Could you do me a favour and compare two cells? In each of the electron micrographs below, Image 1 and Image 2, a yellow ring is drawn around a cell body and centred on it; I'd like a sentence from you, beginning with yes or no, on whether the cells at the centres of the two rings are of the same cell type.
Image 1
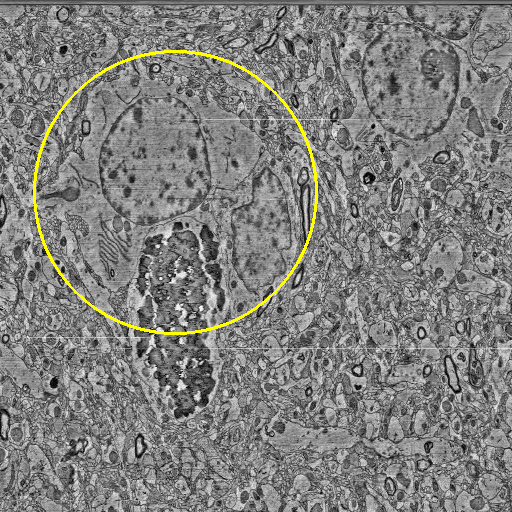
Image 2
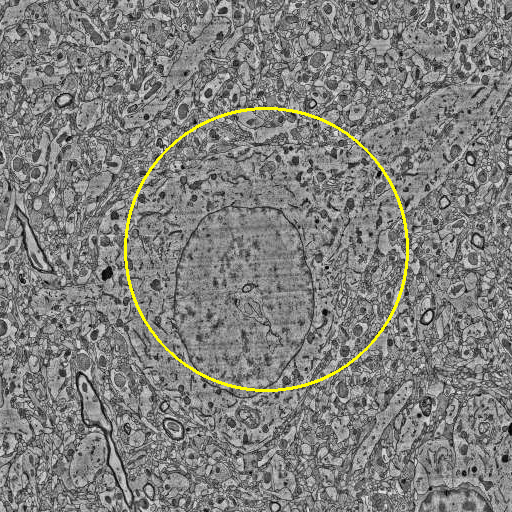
No, the two cells are of two cell types.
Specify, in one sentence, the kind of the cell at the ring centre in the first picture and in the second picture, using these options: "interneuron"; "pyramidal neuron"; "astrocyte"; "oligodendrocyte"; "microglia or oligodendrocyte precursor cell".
So the first is an astrocyte, the second a pyramidal neuron.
